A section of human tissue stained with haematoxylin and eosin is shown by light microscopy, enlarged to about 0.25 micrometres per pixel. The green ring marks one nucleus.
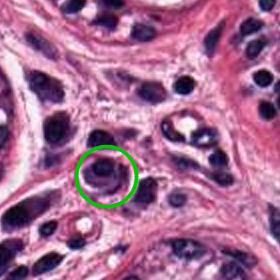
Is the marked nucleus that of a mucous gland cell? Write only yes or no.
no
